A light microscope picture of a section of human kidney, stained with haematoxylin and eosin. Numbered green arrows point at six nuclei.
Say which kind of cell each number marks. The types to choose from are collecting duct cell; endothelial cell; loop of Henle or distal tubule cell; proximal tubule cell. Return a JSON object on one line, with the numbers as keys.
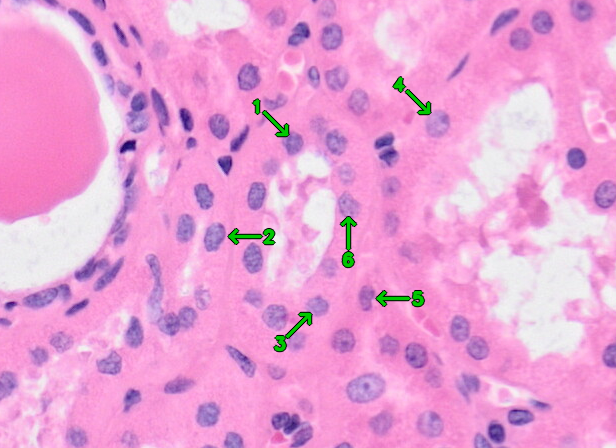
{"1": "loop of Henle or distal tubule cell", "2": "loop of Henle or distal tubule cell", "3": "loop of Henle or distal tubule cell", "4": "proximal tubule cell", "5": "proximal tubule cell", "6": "loop of Henle or distal tubule cell"}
